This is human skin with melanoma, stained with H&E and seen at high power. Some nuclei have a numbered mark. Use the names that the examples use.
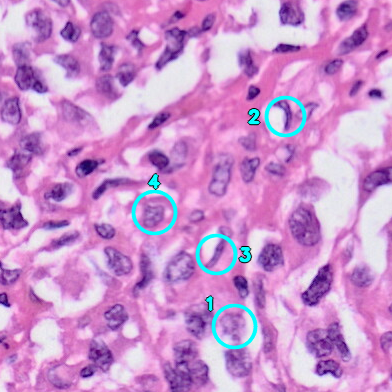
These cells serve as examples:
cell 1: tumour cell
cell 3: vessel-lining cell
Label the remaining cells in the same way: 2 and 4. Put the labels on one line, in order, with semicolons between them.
vessel-lining cell; tumour cell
